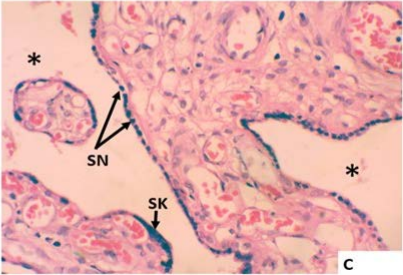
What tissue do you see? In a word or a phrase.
Placental tissue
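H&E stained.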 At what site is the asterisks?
Intervillous spaces.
